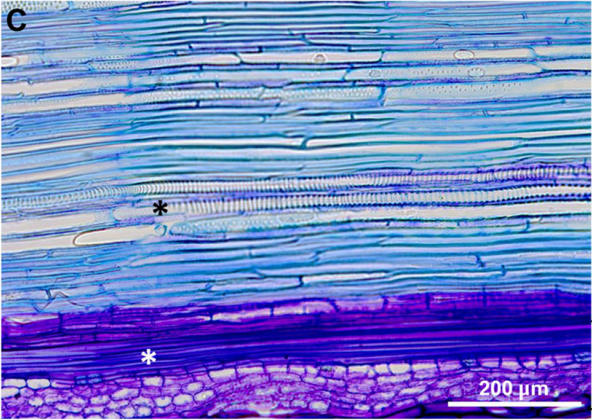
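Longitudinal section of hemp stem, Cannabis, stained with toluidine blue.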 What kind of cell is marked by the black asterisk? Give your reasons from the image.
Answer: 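The asterisk lies on wide, elongated tubes whose walls carry ring-like or helical thickenings. These tubes lie in the upper part of the section, where the cells stain light blue.
Xylem vessels.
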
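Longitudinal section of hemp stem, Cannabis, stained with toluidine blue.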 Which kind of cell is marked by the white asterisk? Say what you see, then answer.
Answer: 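The asterisk lies on a band of very long, narrow cells that run parallel to the stem axis. These cells stain dark purple-blue. The band lies near the outer side, above small rounded cells toward the surface. So: bast-fibers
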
